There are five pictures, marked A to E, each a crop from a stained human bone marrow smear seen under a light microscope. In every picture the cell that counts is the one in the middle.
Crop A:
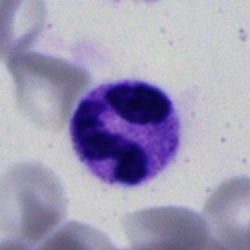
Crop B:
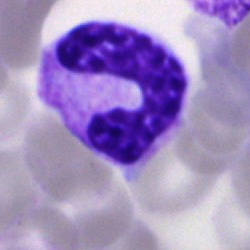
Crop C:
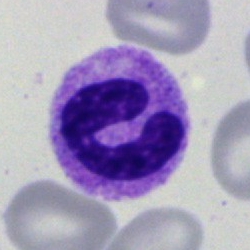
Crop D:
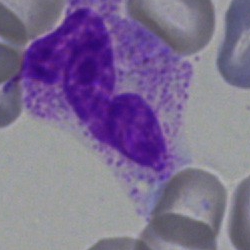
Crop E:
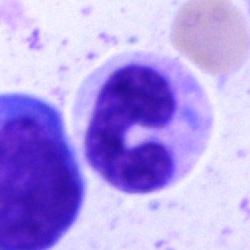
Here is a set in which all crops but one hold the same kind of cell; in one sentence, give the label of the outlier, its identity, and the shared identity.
The others are all band neutrophils; crop A is a segmented neutrophil.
